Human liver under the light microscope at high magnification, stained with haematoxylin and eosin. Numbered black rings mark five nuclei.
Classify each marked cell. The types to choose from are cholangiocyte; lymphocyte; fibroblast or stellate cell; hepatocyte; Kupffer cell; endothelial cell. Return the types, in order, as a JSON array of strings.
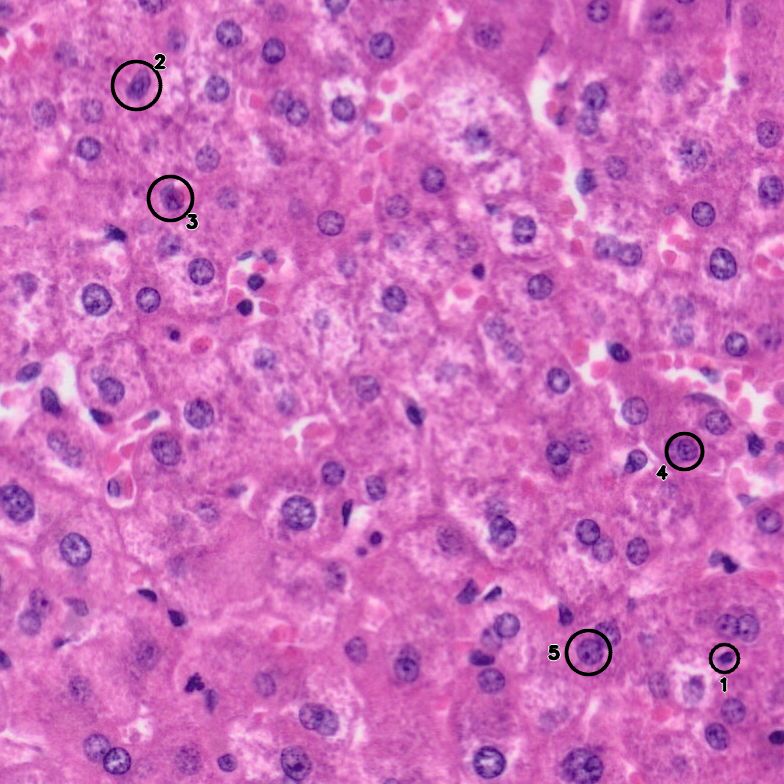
["lymphocyte", "endothelial cell", "endothelial cell", "hepatocyte", "hepatocyte"]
